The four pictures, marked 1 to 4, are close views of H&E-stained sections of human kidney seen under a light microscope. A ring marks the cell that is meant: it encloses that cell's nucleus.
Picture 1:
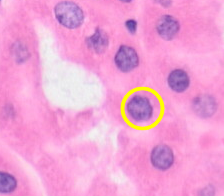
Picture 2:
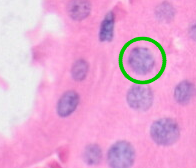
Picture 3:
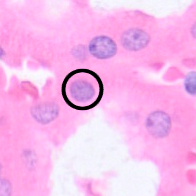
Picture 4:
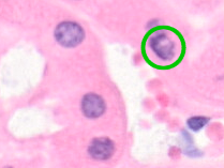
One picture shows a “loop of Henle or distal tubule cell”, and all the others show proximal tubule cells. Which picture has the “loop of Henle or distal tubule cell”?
2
